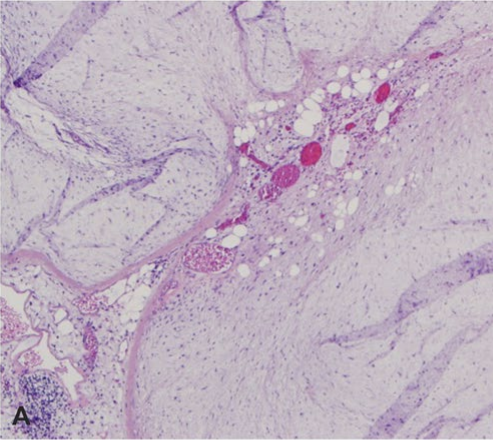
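Myxoid hypocellular stroma with adipose tissue, low magnification. Most of the field is pale bluish-grey loose matrix with widely scattered small nuclei, divided into lobules by thin pink fibrous bands. Through the centre runs a band of fat: round, empty vacuoles of varying size, mixed with small vessels filled with bright red blood. At the lower left, a small dense cluster of dark nuclei and some delicate lined spaces lie at the edge of the myxoid lobules.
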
